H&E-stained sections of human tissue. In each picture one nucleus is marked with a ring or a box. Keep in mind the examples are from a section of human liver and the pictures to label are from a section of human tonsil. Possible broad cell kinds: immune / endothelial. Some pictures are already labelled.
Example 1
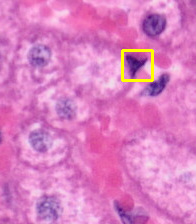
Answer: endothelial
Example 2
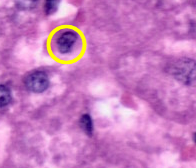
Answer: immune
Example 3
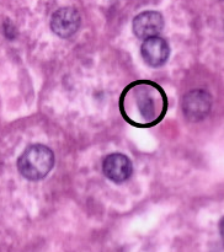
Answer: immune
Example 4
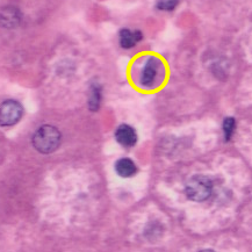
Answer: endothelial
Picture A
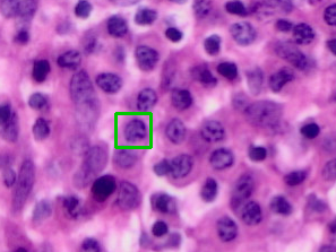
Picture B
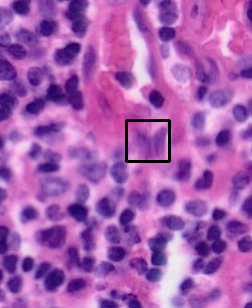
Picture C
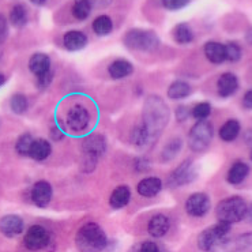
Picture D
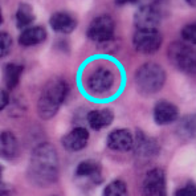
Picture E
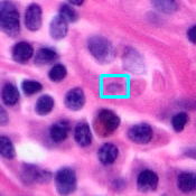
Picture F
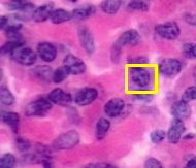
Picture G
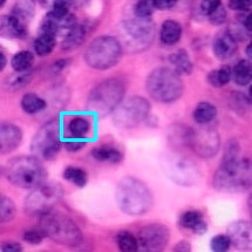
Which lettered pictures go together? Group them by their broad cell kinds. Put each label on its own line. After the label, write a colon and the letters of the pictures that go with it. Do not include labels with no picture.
immune: A, C, D, F
endothelial: B, E, G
